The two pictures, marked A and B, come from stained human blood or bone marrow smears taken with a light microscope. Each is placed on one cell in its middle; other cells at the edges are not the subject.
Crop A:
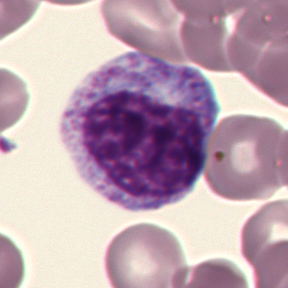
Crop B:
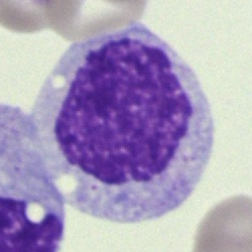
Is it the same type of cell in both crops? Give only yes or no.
no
